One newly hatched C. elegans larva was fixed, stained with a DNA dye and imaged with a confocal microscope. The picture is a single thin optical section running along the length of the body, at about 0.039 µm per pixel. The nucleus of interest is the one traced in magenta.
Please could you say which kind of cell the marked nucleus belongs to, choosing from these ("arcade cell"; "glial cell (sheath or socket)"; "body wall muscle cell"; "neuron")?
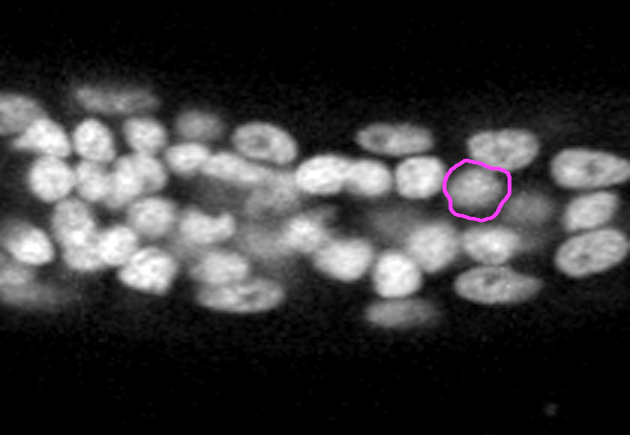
glial cell (sheath or socket)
